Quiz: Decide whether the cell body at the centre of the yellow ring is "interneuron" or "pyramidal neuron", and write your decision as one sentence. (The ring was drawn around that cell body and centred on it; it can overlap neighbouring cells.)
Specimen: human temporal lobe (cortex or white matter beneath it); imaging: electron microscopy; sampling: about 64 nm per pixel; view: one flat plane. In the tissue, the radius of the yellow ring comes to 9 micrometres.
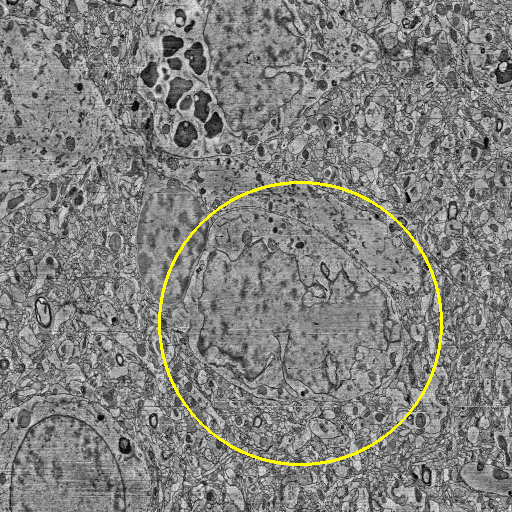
The cell the ring is centred on is an interneuron.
